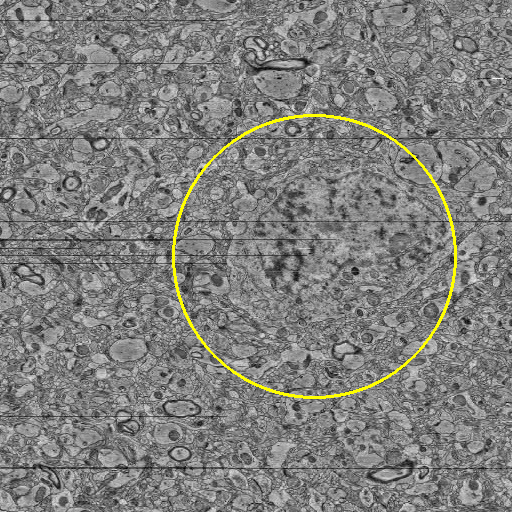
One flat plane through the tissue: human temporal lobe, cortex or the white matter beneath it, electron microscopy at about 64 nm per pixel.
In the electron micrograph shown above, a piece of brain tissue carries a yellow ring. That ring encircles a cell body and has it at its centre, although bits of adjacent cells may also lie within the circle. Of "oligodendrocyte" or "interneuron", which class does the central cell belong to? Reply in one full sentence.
The cell body at the centre of the yellow ring belongs to an interneuron.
